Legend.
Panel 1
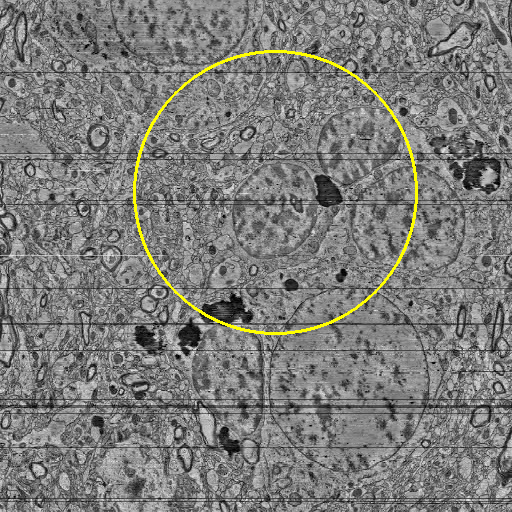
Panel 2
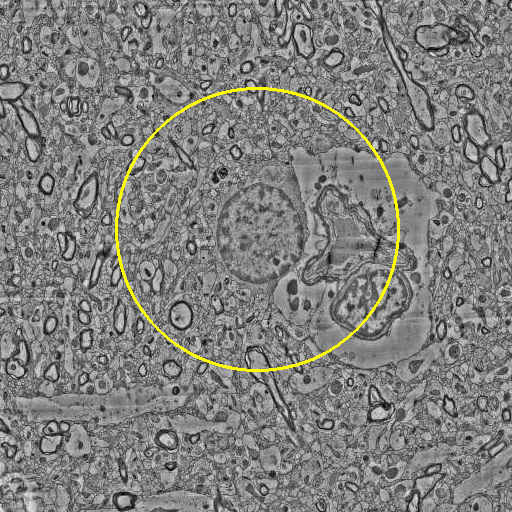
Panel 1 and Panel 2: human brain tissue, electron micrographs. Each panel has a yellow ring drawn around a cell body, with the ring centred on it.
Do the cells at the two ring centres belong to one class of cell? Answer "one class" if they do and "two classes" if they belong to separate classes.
one class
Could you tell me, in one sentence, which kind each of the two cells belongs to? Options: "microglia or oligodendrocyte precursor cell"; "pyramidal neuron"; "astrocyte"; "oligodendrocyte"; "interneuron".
Each cell at the centre of a ring is an oligodendrocyte.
